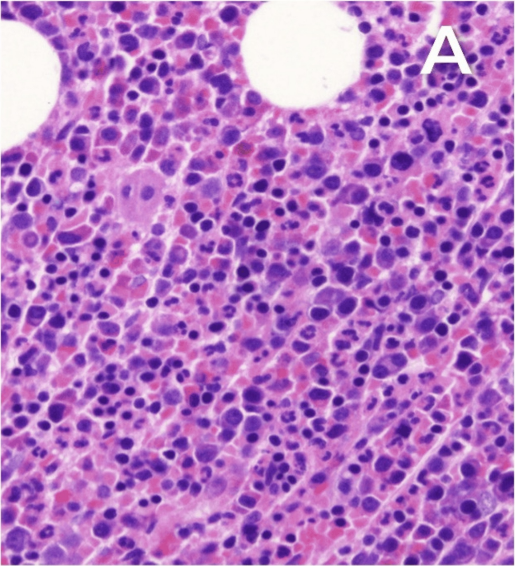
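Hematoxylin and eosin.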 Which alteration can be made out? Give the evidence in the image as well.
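Cells crowd the marrow space with only a few round fat spaces left. There are no wide areas of fat between the cells. The answer: hypercellular bone marrow.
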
